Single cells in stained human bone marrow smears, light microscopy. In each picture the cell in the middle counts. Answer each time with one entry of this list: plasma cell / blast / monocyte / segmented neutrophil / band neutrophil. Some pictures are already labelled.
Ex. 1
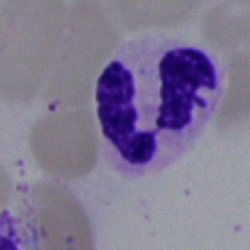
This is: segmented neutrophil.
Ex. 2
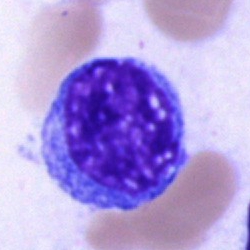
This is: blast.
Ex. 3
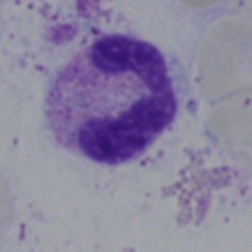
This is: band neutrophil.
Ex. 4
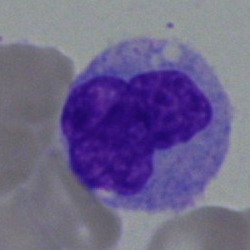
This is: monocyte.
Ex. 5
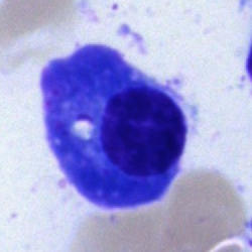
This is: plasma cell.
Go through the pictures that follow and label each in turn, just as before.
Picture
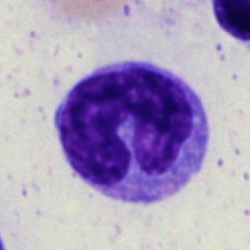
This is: monocyte.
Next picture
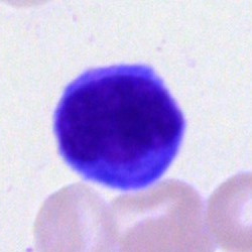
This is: monocyte.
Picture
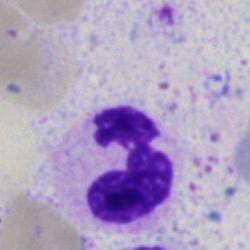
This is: segmented neutrophil.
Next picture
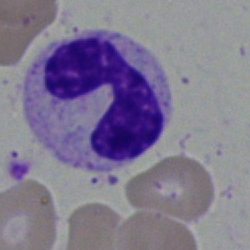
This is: band neutrophil.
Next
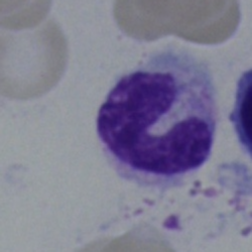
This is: band neutrophil.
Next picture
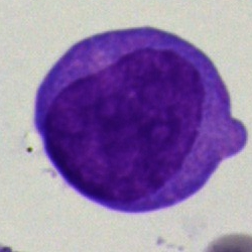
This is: blast.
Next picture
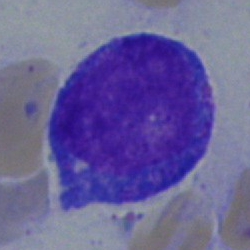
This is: blast.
